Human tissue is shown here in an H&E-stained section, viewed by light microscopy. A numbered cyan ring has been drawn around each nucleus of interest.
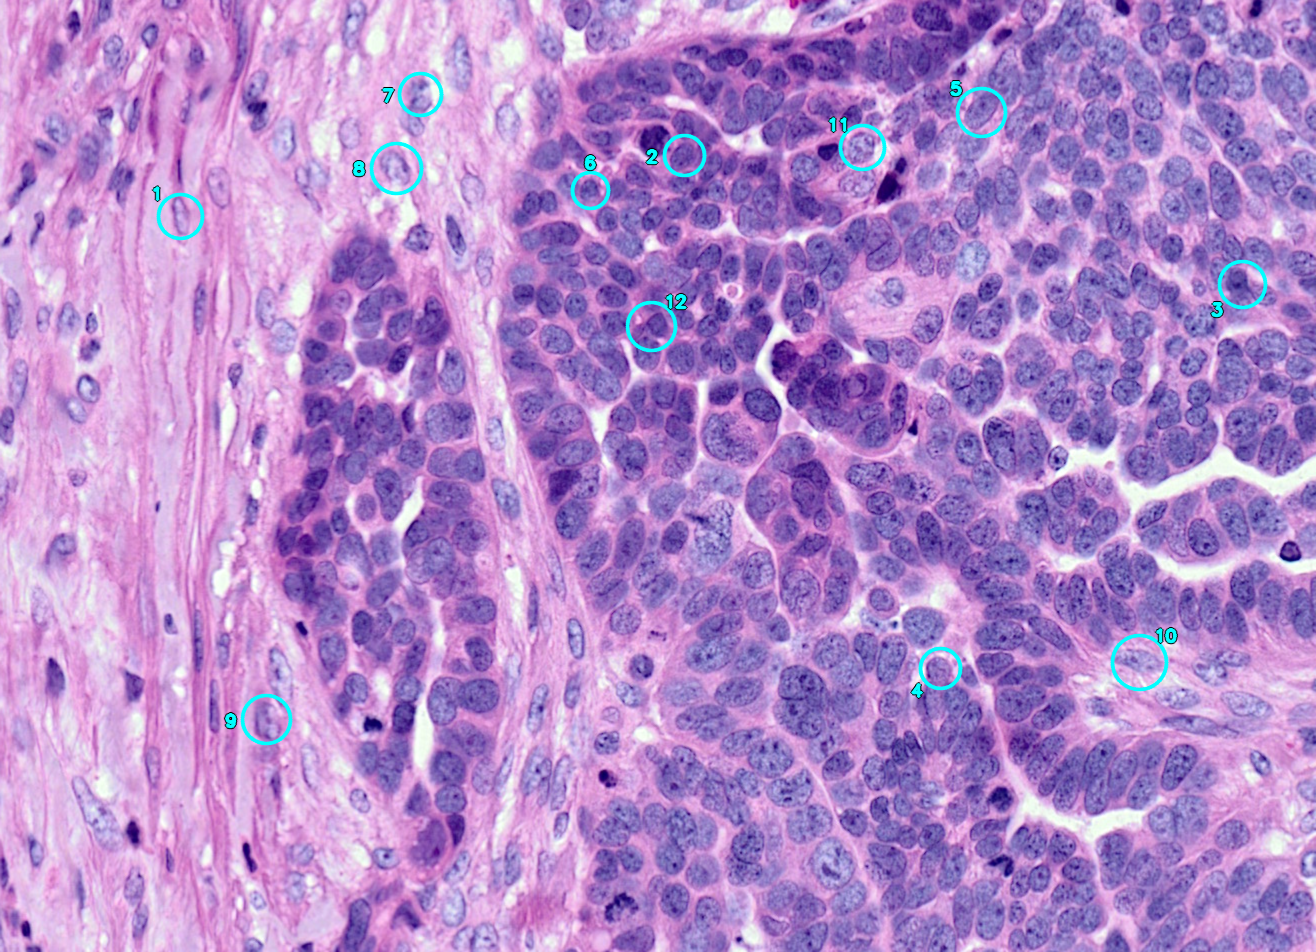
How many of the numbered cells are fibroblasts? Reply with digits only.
5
